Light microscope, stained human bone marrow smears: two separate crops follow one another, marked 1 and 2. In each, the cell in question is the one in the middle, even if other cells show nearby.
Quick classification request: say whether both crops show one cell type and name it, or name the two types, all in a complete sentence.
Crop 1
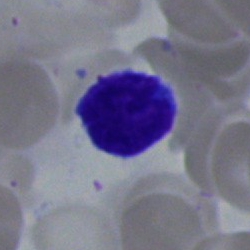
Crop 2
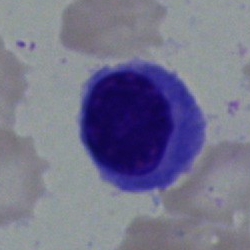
No, the labels go like this: crop 1 is a lymphocyte and crop 2 is a plasma cell.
